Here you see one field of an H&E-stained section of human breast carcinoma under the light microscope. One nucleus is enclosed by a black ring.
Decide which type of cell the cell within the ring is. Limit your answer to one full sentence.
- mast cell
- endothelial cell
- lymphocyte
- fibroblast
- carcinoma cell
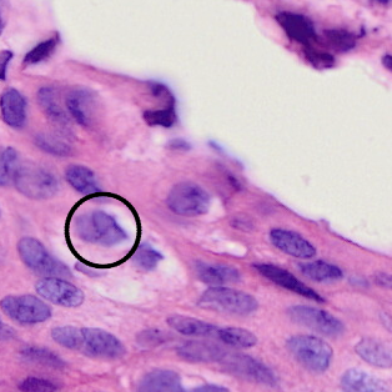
The expected answer is simply that the cell within the ring is a carcinoma cell.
